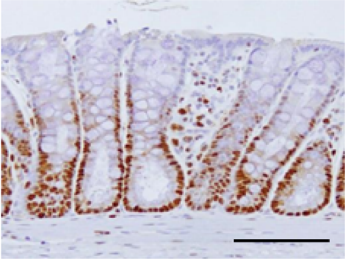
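This is colonic mucosa with straight, closely packed tubular crypts running from the luminal surface down to a thin muscular layer at the bottom. The crypts are lined by columnar epithelium containing many pale, rounded goblet cells. Brown-stained nuclei are crowded in the lower half of each crypt, near the base, where they sit densely along the epithelium; toward the surface the nuclei are mostly blue and unstained. The surface epithelium is largely unstained.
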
